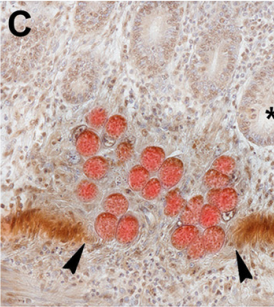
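The deep part of the intestinal mucosa is shown, with crypts cut across above and a thick brown band of smooth muscle at the base. A cluster of large round red bodies sits in the lamina propria and lies in a gap of the brown band, which ends on either side of the cluster. Around them the lamina propria is crowded with small cells with dark nuclei.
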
